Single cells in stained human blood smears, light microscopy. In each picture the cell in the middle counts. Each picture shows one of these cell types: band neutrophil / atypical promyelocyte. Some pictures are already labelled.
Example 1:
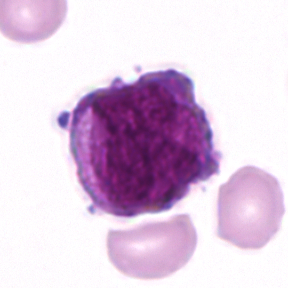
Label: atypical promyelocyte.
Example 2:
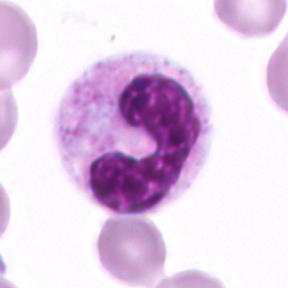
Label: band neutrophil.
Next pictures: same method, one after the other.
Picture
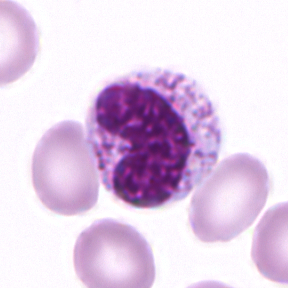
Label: band neutrophil.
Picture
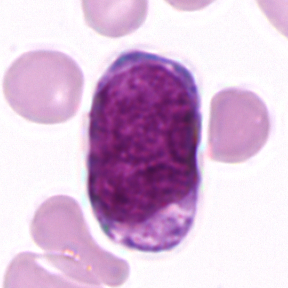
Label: atypical promyelocyte.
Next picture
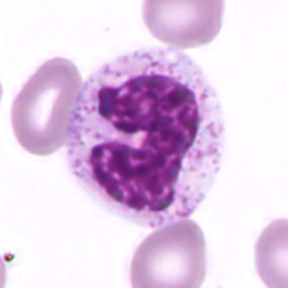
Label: band neutrophil.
